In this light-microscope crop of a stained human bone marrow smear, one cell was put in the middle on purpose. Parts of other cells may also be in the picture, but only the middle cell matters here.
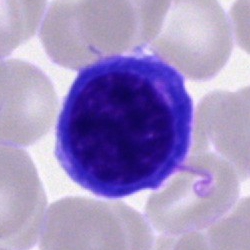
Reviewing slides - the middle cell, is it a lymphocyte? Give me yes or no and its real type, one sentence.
No, what occupies the middle of the crop is an erythroblast and not a lymphocyte.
